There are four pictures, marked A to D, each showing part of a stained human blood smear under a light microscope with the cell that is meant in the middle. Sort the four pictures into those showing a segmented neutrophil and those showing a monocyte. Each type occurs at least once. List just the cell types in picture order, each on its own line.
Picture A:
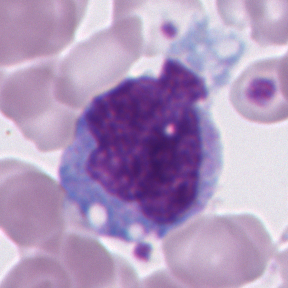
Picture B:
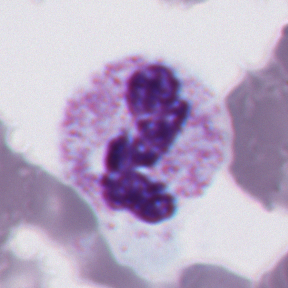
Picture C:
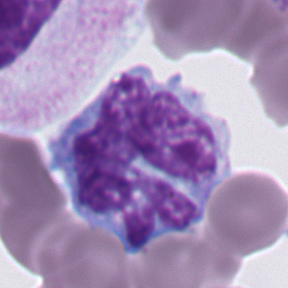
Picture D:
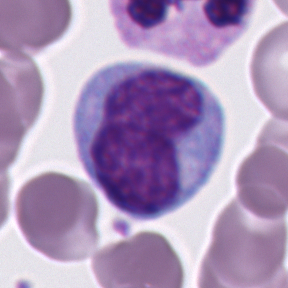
monocyte
segmented neutrophil
monocyte
monocyte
